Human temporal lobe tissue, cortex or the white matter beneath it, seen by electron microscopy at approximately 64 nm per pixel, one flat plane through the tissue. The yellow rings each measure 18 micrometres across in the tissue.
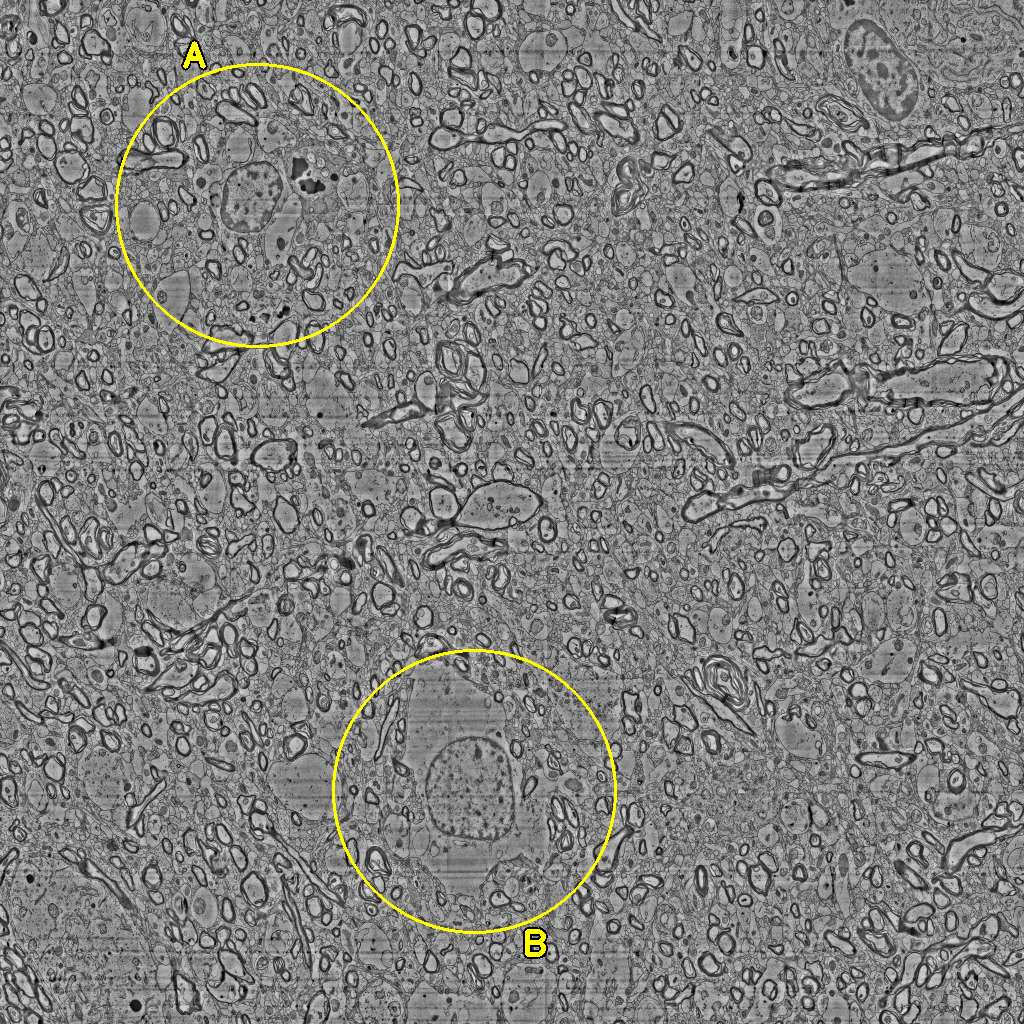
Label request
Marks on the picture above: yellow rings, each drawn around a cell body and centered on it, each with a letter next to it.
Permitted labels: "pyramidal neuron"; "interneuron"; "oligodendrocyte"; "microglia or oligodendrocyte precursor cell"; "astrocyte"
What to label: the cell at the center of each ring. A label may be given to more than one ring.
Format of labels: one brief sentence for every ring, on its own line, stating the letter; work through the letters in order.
The cell at the center of ring A is a microglial cell or oligodendrocyte precursor cell.
The cell at the center of ring B is an astrocyte.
